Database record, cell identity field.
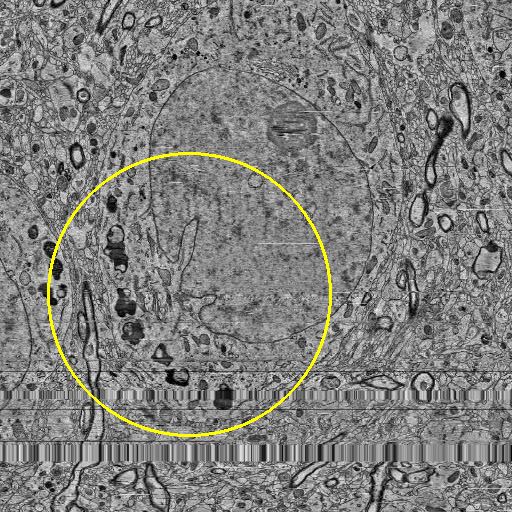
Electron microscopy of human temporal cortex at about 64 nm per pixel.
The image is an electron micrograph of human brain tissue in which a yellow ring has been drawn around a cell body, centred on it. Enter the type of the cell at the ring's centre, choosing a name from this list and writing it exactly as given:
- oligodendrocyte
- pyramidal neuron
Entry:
pyramidal neuron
